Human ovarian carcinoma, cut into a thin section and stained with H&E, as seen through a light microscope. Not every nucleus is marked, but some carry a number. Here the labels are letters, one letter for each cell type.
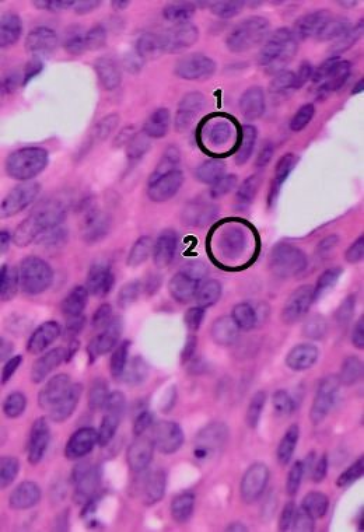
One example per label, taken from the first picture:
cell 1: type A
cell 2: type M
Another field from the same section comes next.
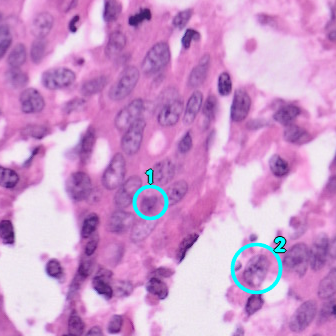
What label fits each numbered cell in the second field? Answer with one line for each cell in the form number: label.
1: type M
2: type A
